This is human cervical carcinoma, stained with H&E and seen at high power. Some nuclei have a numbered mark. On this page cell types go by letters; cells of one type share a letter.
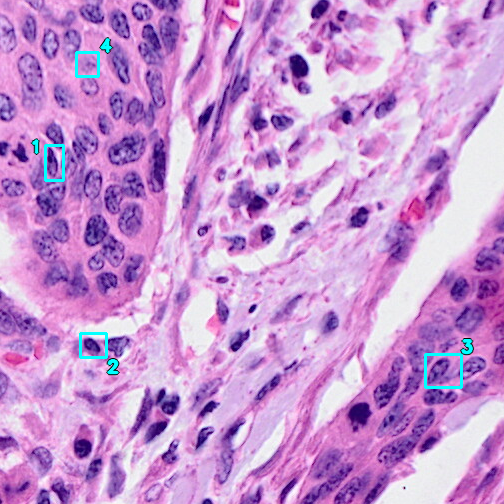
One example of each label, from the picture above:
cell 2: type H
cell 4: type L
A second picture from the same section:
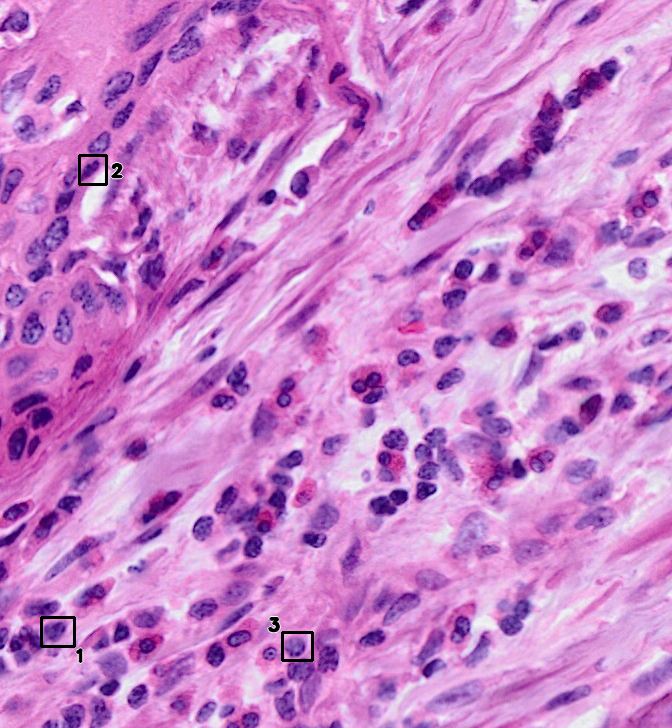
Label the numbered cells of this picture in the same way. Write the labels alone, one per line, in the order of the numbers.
type H
type L
type H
